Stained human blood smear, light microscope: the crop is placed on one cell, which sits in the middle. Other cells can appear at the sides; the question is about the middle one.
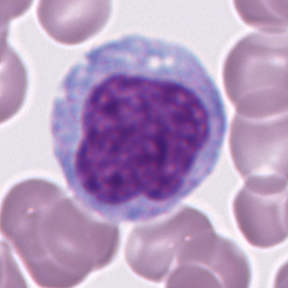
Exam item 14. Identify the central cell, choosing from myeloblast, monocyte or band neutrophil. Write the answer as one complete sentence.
The cell the crop is centered on is a monocyte.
